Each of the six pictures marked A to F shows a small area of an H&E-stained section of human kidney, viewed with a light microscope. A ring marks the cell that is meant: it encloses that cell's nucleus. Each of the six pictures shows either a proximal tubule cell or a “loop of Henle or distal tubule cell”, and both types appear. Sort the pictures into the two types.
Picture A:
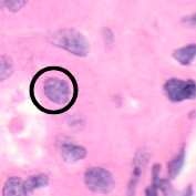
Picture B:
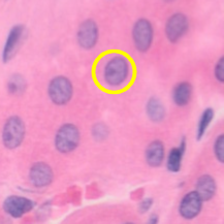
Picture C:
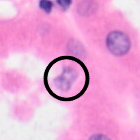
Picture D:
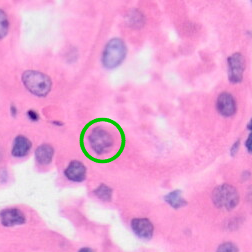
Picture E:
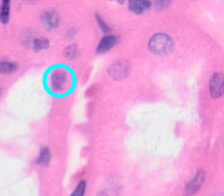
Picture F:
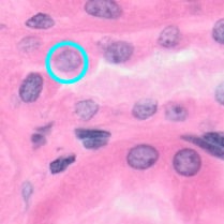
A: loop of Henle or distal tubule cell
B: proximal tubule cell
C: proximal tubule cell
D: proximal tubule cell
E: loop of Henle or distal tubule cell
F: loop of Henle or distal tubule cell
